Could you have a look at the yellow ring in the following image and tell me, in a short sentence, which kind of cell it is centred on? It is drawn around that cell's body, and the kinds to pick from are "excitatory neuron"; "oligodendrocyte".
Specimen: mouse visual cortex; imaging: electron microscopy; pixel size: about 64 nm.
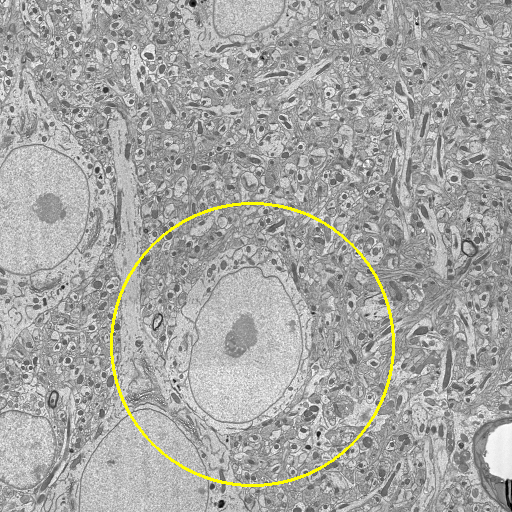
The ring is centred on the body of an excitatory neuron.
